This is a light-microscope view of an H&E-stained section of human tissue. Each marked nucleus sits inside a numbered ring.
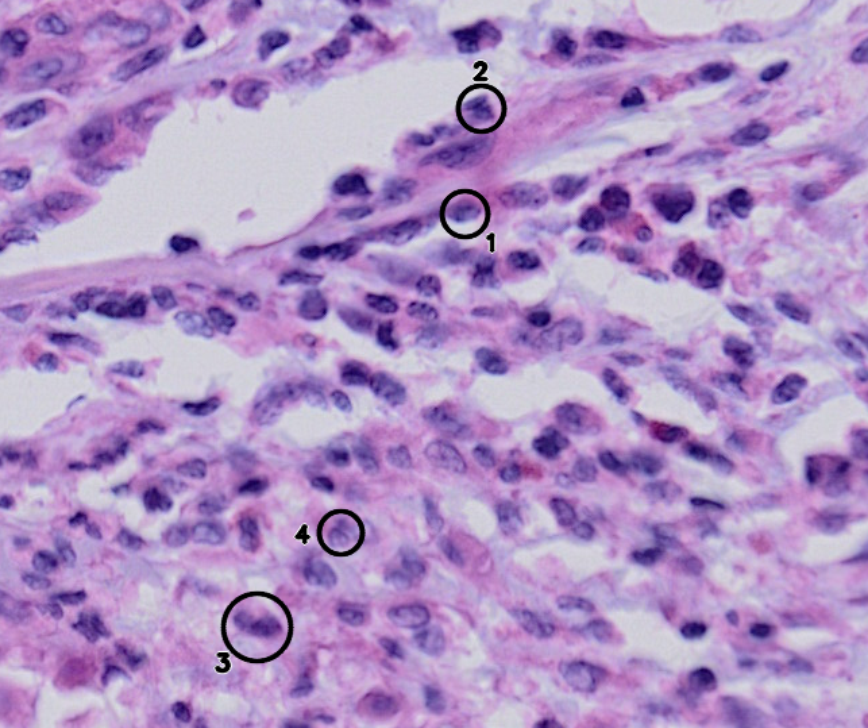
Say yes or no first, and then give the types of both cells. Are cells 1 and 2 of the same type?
Yes, both cell 1 and cell 2 are classified as lymphocytes.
